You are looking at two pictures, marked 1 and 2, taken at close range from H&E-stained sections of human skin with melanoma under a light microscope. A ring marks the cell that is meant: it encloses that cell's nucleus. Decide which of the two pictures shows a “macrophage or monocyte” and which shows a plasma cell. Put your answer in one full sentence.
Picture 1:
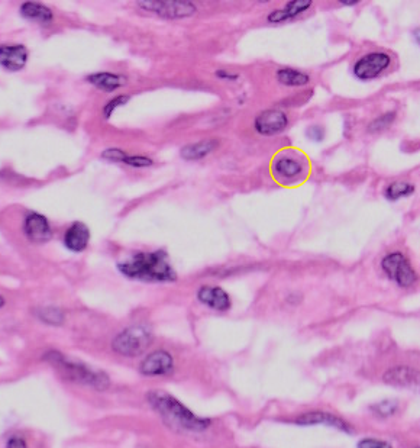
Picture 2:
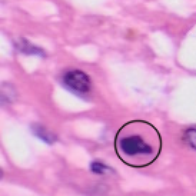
Picture 1 is of a “macrophage or monocyte”, and picture 2 is of a plasma cell.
